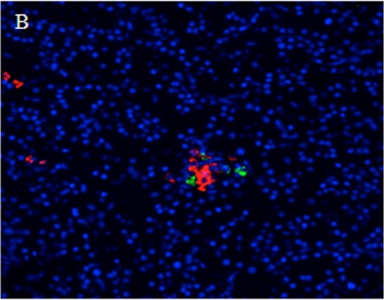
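Among evenly spread blue nuclei, a small loose group of red-stained cells mixed with a few green-stained cells sits in the centre, with a few more isolated red cells nearby. The group is small and not compact, without a sharp border.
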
